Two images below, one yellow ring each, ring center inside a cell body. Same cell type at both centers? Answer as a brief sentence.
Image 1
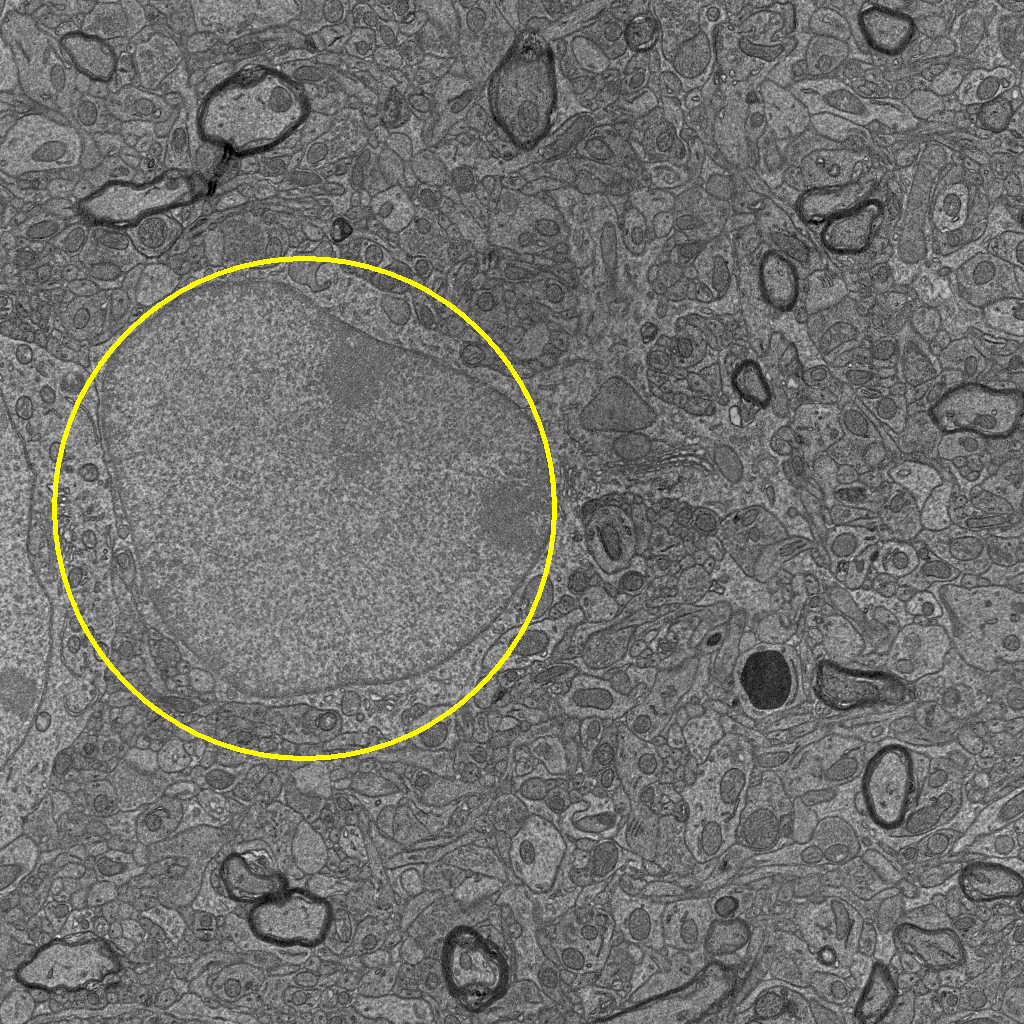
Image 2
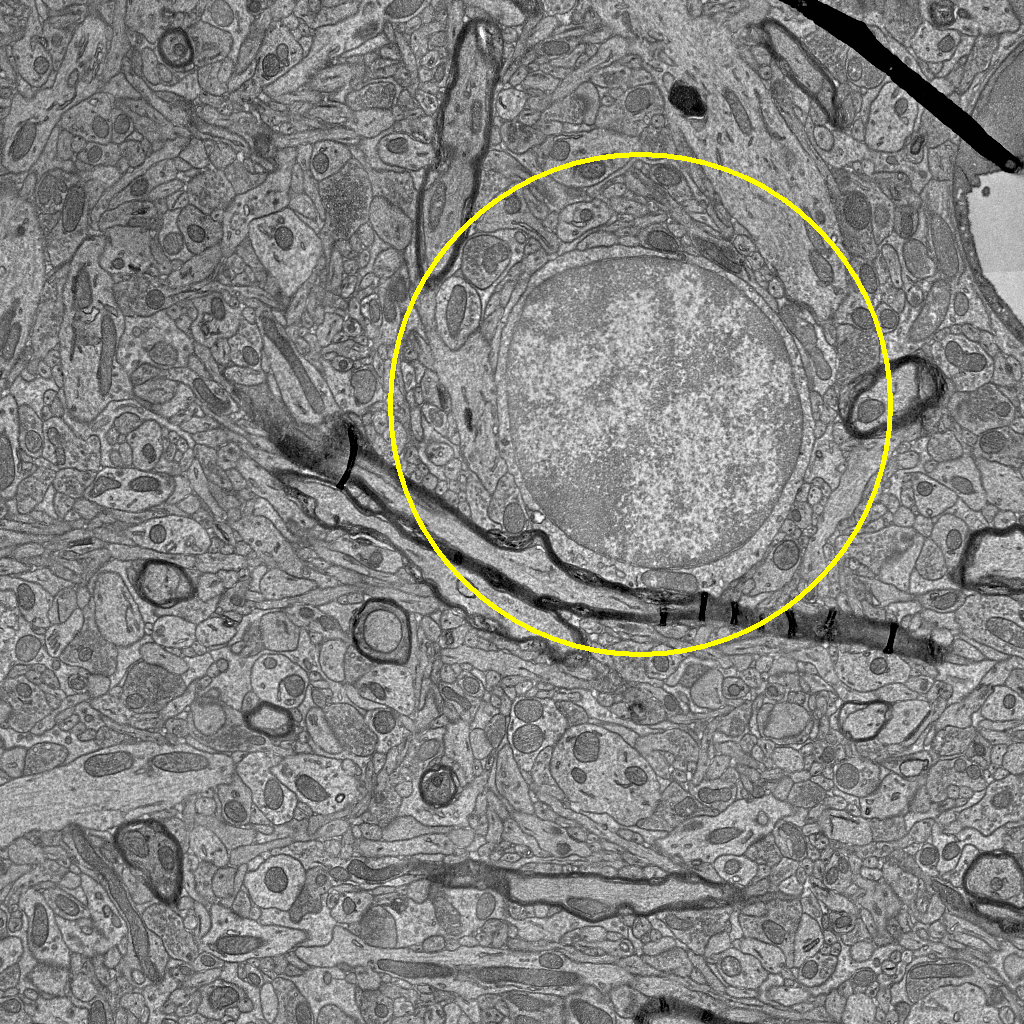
No, the cells are of two separate types.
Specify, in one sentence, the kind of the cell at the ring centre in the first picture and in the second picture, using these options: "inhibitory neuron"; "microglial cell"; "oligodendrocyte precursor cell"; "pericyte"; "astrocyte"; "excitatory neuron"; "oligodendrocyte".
The cell in the second picture is an oligodendrocyte, and that in the first is an astrocyte.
